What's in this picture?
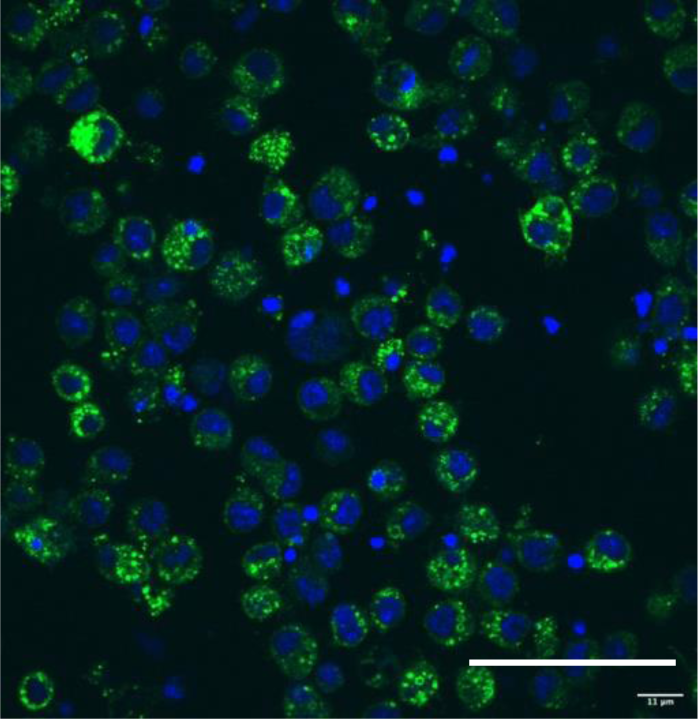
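Cultured round cells, densely scattered across the field, show green label concentrated in bright intracellular puncta and clumps. The green puncta lie in the cytoplasm around the nucleus, and in some cells they gather into large bright aggregates. A continuous green rim at the cell border is seen in only a few cells. Small blue bodies without surrounding green label also lie between the cells.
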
